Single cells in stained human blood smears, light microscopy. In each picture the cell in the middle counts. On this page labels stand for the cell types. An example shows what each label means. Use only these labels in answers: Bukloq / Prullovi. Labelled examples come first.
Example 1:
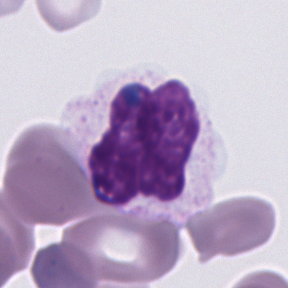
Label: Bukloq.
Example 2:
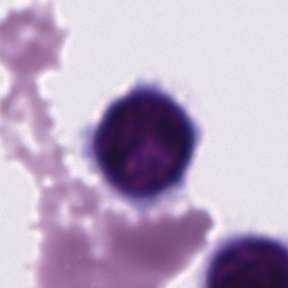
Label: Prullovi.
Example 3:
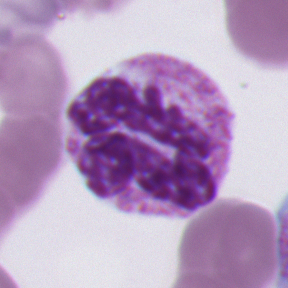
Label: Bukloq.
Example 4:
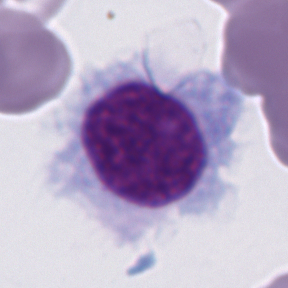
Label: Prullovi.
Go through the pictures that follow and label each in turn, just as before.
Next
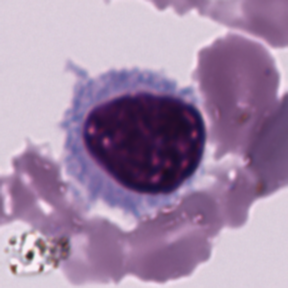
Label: Prullovi.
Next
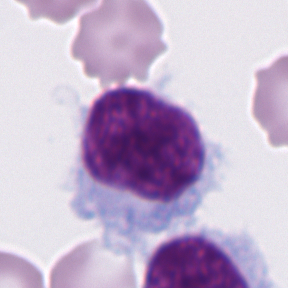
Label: Prullovi.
